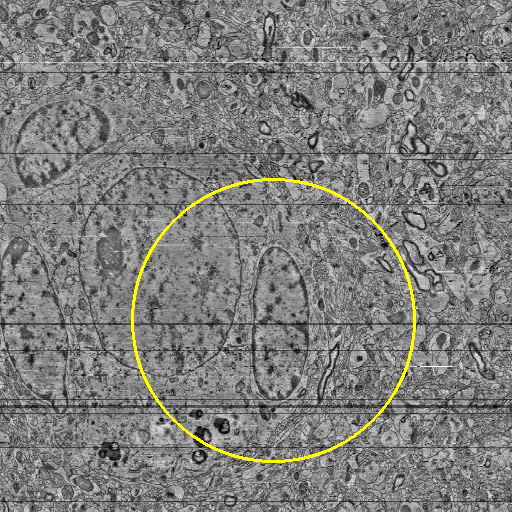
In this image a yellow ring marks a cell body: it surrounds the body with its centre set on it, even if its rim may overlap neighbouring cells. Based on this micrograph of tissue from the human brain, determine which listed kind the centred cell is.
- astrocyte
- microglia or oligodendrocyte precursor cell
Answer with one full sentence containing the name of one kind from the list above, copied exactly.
It is a microglial cell or oligodendrocyte precursor cell whose body the yellow ring encloses at its centre.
